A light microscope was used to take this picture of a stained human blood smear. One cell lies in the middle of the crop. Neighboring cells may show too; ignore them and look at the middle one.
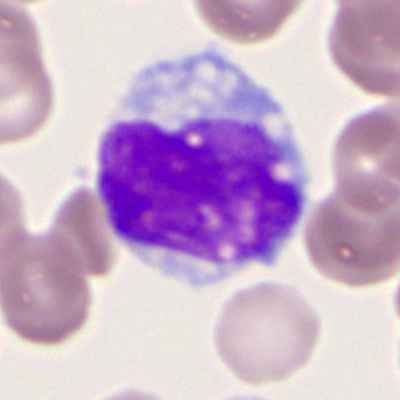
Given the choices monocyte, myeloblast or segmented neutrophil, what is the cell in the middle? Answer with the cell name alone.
monocyte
